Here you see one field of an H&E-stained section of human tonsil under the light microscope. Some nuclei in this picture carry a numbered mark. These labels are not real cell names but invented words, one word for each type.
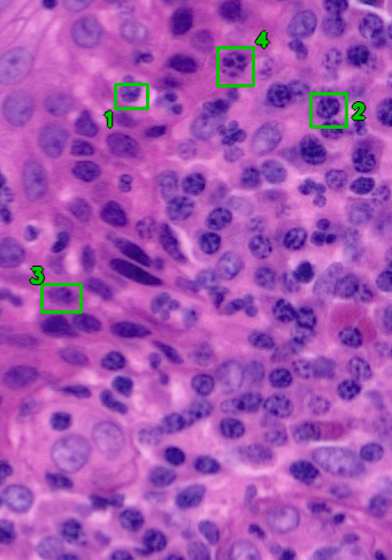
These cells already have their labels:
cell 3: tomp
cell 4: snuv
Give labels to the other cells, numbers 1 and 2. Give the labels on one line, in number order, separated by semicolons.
tomp; snuv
